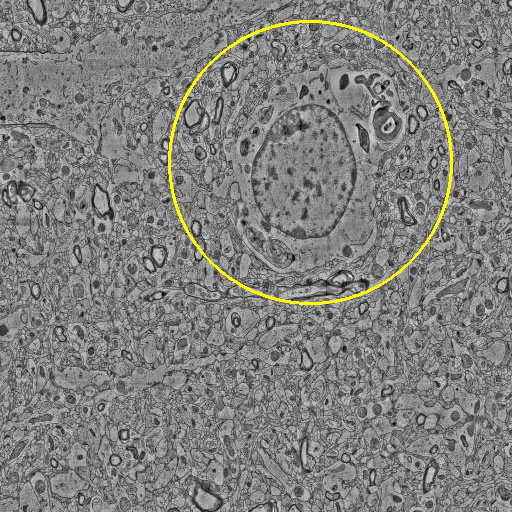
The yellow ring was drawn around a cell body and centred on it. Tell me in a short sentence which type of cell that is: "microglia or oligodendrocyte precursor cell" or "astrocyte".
The cell at the ring's centre is an astrocyte.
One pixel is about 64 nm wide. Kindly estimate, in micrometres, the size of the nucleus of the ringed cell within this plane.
Approximately 8 x 7 micrometres in this plane.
